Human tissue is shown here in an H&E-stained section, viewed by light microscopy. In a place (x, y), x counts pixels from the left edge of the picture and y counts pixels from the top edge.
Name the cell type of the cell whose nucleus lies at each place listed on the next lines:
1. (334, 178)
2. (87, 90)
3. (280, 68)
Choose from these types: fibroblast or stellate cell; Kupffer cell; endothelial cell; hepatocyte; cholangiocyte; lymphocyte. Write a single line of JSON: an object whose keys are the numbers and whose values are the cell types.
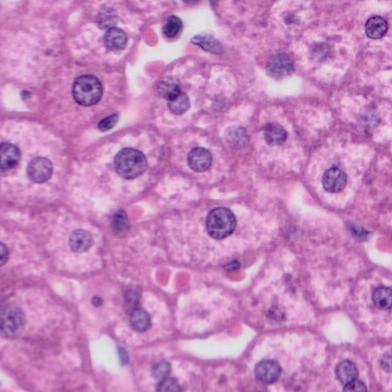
{"1": "hepatocyte", "2": "hepatocyte", "3": "endothelial cell"}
